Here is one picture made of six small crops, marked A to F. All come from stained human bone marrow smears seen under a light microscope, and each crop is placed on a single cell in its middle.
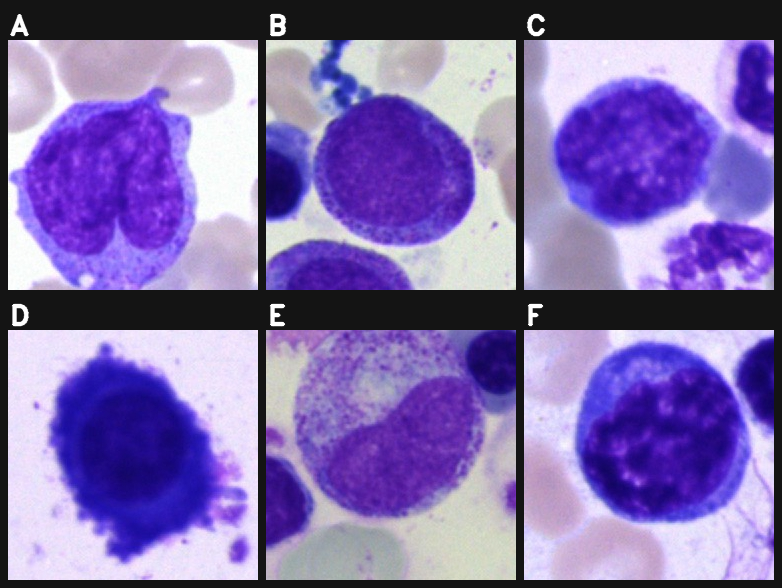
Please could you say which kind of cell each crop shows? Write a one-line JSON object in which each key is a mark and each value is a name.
{"A": "monocyte", "B": "promyelocyte", "C": "monocyte", "D": "plasma cell", "E": "metamyelocyte", "F": "blast"}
